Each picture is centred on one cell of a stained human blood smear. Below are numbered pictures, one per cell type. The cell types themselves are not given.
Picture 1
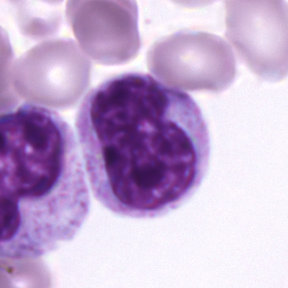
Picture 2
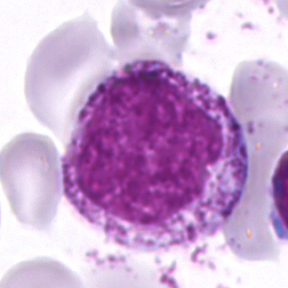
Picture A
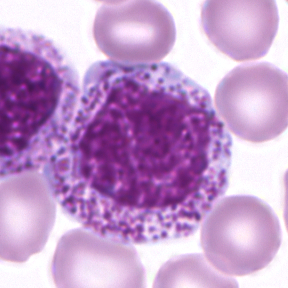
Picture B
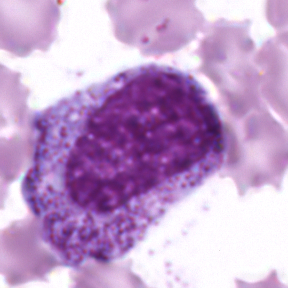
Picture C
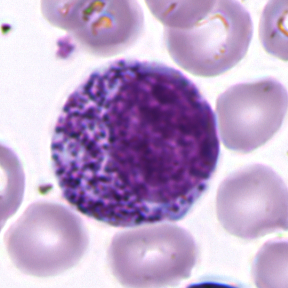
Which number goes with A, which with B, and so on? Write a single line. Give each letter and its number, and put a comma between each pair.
A 2, B 2, C 2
